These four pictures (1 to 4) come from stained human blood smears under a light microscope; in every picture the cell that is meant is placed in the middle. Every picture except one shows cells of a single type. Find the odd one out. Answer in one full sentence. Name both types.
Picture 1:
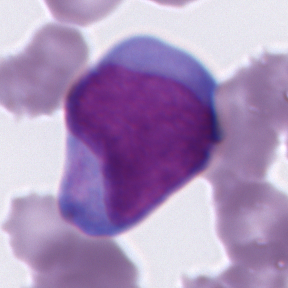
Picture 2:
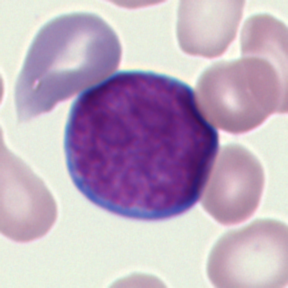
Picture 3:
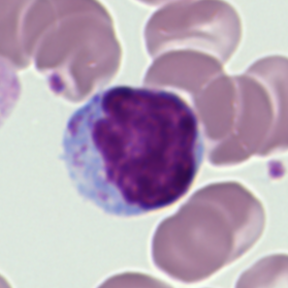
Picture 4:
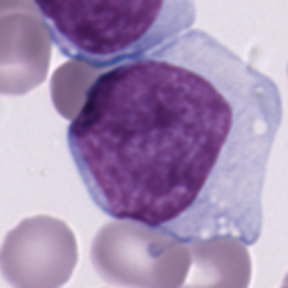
The others show myeloblasts, but picture 3 shows a large granular lymphocyte.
